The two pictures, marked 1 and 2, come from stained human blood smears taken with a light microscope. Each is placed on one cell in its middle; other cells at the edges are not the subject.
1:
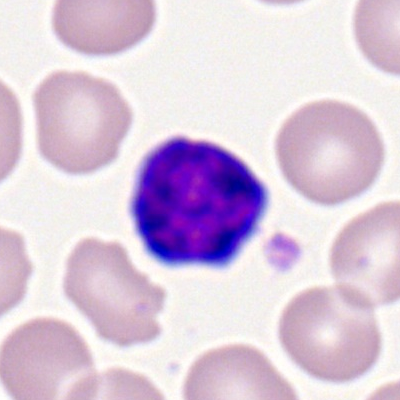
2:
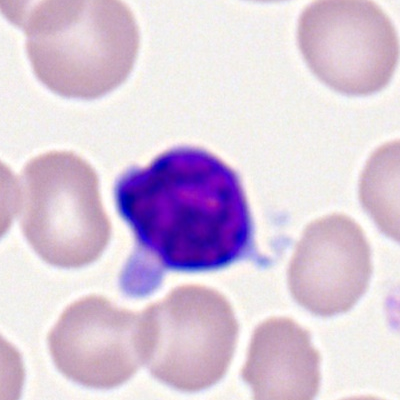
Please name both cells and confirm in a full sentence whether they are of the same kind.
Yes, put down lymphocytes for both crops.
